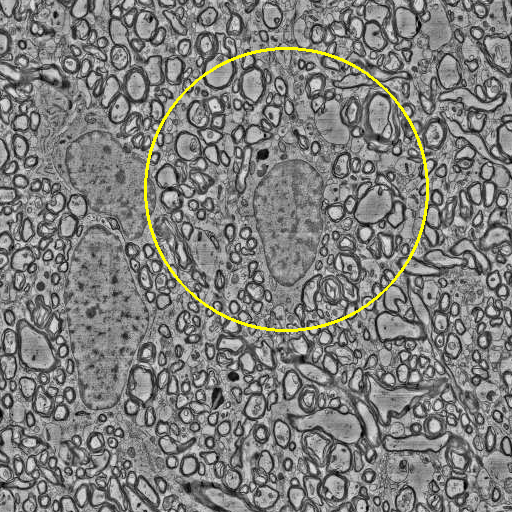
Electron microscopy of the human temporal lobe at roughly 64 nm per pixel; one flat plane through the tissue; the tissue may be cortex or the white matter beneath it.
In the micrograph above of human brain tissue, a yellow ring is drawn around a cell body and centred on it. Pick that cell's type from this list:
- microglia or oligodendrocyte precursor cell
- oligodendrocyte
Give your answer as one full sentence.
Going by the list, an oligodendrocyte is the cell on which the yellow ring is centred.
